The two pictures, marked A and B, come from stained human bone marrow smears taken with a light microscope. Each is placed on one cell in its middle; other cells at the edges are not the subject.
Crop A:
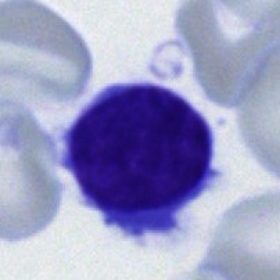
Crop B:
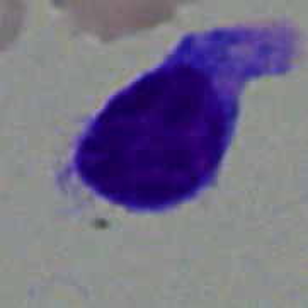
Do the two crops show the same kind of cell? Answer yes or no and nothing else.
yes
